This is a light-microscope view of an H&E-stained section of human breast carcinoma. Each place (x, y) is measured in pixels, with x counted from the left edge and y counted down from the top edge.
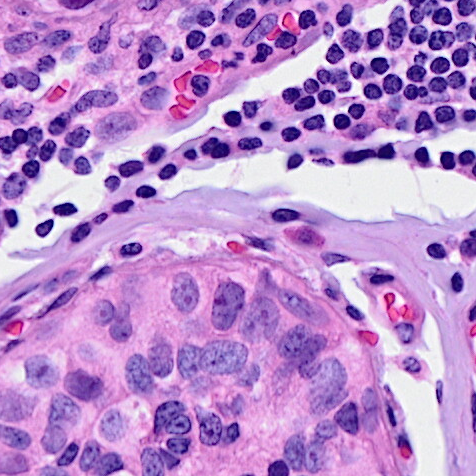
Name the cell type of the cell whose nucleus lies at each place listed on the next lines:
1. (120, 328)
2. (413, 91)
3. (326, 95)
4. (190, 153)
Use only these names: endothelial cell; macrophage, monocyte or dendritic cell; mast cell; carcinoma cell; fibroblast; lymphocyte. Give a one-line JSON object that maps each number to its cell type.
{"1": "carcinoma cell", "2": "lymphocyte", "3": "lymphocyte", "4": "lymphocyte"}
